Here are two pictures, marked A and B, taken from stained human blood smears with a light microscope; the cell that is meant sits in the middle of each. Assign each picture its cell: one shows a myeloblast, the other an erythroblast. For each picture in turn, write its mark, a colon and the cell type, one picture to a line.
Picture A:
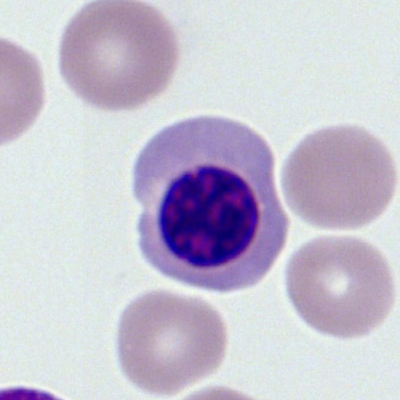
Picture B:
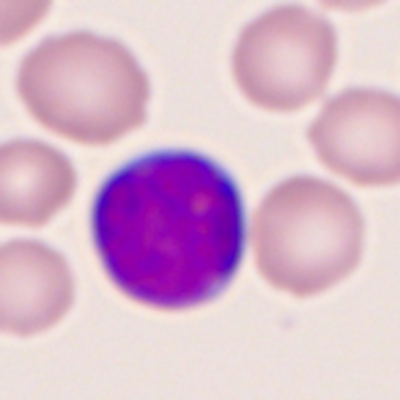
A: erythroblast
B: myeloblast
